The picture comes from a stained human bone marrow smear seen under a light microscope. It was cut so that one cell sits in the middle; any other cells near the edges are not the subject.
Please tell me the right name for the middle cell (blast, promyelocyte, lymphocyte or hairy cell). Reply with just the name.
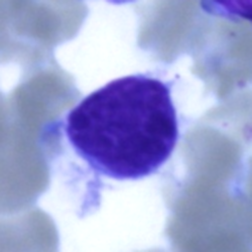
lymphocyte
